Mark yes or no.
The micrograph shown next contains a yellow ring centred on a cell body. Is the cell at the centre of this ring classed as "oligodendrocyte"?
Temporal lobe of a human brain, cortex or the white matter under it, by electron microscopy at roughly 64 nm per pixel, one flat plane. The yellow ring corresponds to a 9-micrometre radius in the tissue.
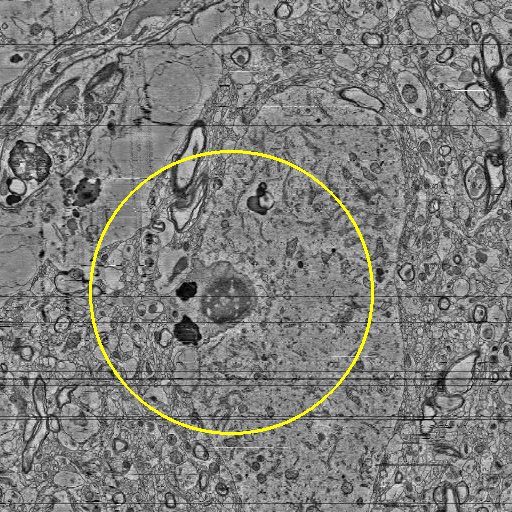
yes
